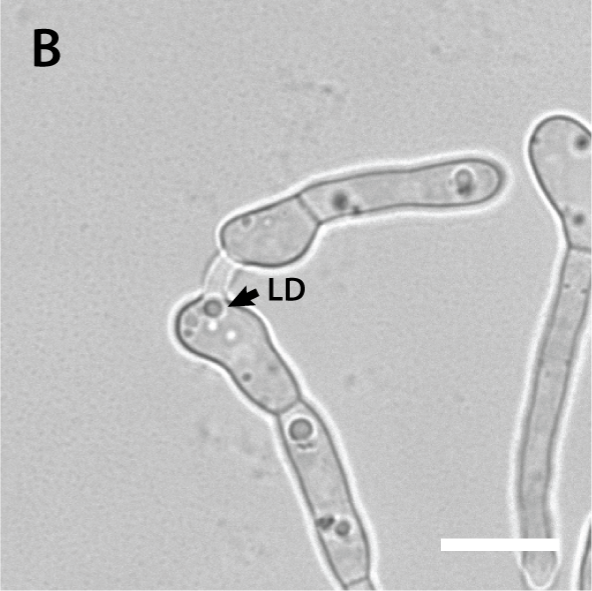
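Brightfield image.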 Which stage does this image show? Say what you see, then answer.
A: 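Germlings. Narrow tubular cells with rounded tips. Cross walls divide the tubes into compartments. Two tubes are joined by a thin bridge.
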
